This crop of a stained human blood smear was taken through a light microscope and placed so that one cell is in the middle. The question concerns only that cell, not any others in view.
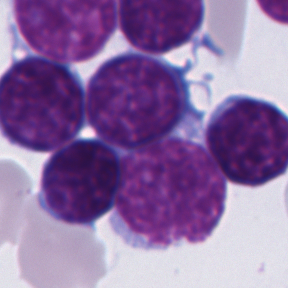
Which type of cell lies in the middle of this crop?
myeloblast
